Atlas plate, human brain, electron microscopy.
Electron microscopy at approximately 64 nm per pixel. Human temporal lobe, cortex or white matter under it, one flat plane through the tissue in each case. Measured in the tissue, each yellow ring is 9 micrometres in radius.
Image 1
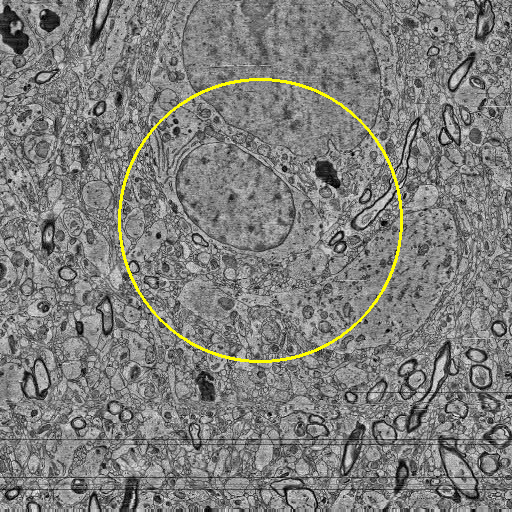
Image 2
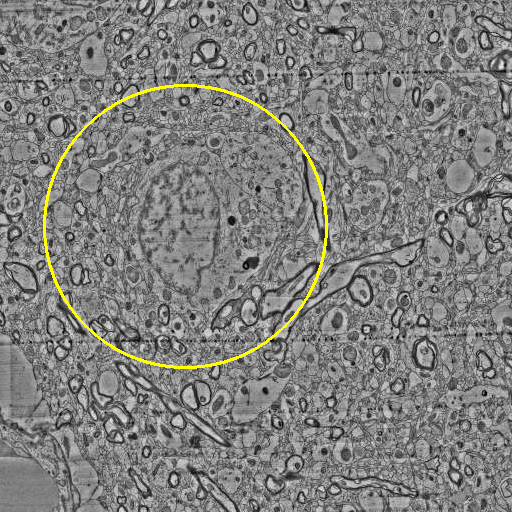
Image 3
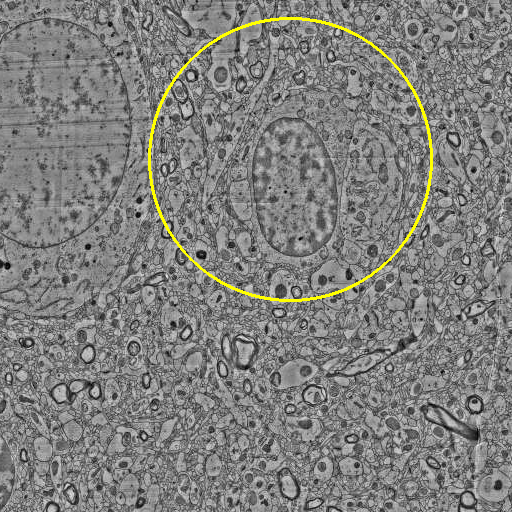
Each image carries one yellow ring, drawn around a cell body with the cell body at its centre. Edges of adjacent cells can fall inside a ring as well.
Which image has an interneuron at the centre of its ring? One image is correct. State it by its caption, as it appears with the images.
Image 2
